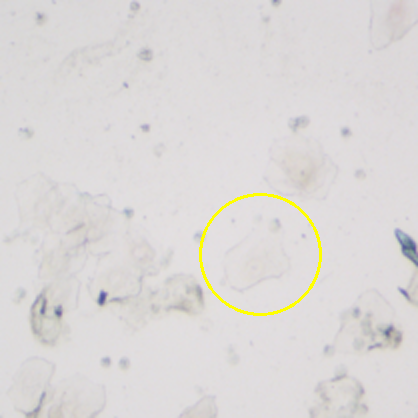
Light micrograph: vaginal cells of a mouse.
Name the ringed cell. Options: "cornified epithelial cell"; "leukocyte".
cornified epithelial cell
